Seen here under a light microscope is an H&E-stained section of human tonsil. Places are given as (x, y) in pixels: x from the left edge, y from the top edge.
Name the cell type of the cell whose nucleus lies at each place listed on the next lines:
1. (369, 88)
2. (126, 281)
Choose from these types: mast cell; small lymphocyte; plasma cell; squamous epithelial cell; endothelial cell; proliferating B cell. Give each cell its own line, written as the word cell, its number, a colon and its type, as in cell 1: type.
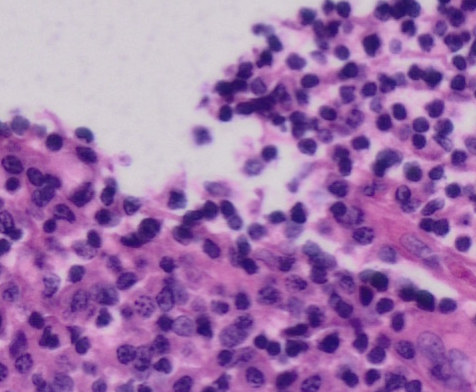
cell 1: small lymphocyte
cell 2: plasma cell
